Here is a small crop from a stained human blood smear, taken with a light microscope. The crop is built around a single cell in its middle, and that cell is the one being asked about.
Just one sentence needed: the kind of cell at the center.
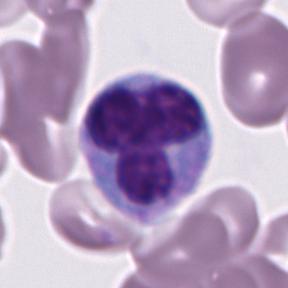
The cell that lies at the centre of the crop is a monocyte.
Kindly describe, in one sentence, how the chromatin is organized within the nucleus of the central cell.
The chromatin of this one is coarsely clumped.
